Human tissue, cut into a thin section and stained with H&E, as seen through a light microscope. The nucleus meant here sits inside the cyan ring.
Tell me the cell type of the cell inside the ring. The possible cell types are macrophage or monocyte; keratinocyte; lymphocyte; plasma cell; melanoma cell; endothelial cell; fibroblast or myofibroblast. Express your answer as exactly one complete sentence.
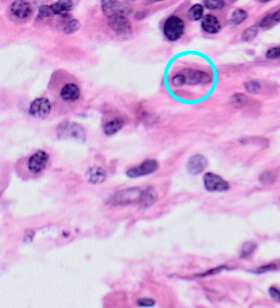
Considered by cell type, the cell inside the ring is a macrophage or monocyte.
